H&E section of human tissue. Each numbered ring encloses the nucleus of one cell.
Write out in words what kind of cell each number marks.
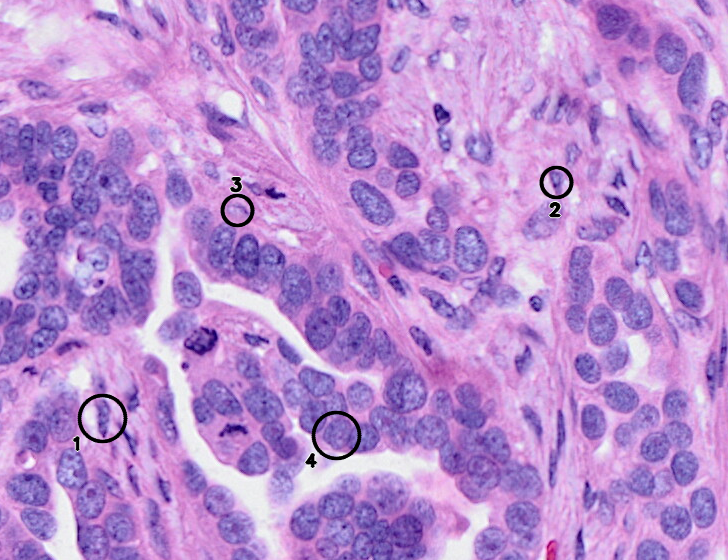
Cell 1 is a fibroblast, cell 2 is a fibroblast, cell 3 is a fibroblast and cell 4 is a carcinoma cell.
